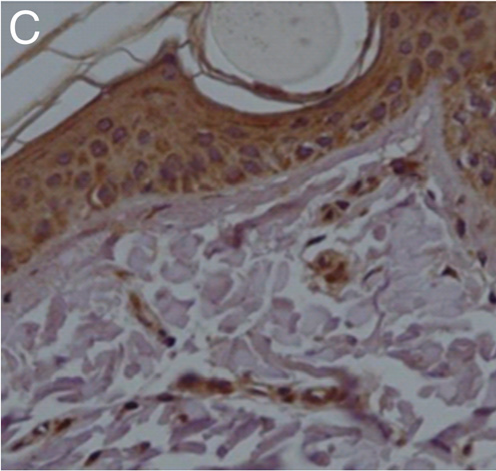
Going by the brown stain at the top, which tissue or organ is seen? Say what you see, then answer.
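A stratified layer of polygonal cells with round nuclei along the top. This layer is stained brown throughout. The answer: epidermal layers.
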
